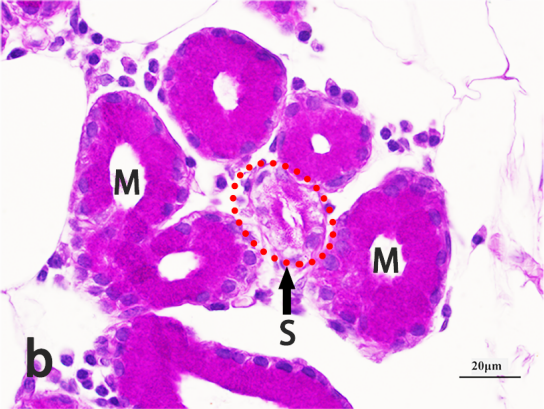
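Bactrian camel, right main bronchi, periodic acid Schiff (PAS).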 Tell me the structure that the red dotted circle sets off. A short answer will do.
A: Serous glands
